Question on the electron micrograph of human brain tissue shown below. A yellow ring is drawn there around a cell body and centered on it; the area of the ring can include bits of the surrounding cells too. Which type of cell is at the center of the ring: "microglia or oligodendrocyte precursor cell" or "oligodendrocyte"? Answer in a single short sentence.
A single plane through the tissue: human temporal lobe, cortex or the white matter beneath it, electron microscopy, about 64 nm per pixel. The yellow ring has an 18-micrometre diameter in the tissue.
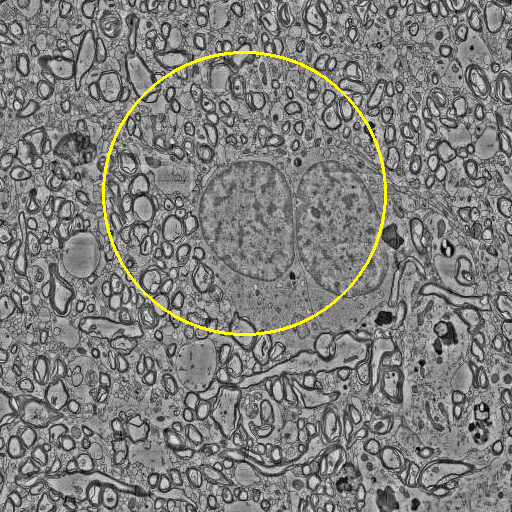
The ring is centered on an oligodendrocyte.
